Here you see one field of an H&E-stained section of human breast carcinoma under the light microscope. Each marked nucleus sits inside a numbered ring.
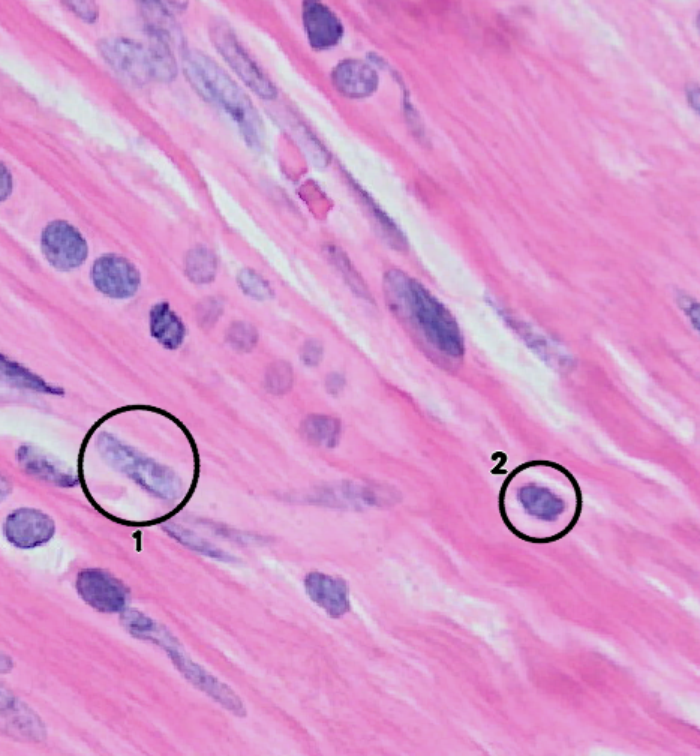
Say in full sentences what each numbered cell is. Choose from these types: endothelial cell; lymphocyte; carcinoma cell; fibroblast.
Cell 1 is an endothelial cell. Cell 2 is a lymphocyte.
